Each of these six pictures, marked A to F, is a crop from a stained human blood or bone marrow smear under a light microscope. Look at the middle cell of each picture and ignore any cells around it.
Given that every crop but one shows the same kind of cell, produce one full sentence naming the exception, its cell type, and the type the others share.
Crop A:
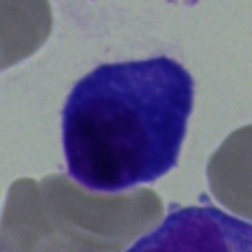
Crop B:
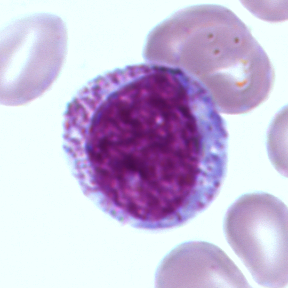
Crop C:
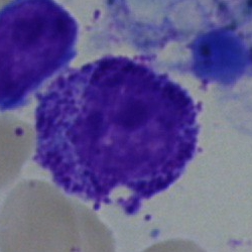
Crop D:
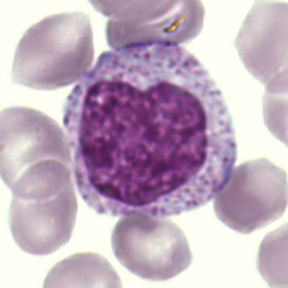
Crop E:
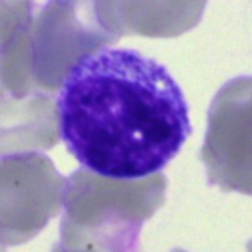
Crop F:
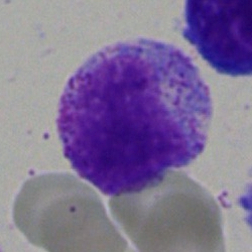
The odd one out is crop A, a plasma cell, and all other crops show myelocytes.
